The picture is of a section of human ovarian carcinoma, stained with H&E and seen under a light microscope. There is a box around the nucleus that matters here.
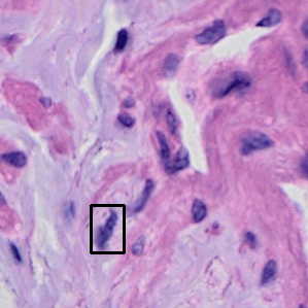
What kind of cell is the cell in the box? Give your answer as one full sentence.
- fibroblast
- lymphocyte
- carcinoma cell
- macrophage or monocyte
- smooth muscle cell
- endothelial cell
It is as a macrophage or monocyte that the cell in the box is recorded.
